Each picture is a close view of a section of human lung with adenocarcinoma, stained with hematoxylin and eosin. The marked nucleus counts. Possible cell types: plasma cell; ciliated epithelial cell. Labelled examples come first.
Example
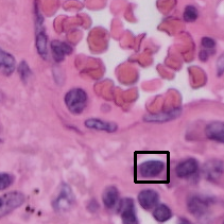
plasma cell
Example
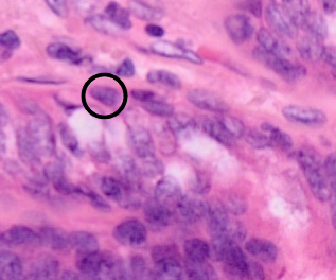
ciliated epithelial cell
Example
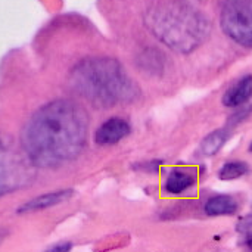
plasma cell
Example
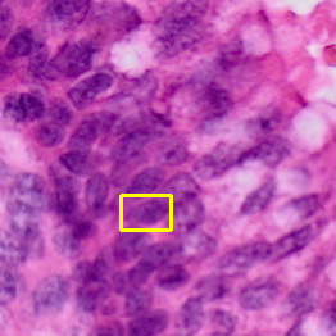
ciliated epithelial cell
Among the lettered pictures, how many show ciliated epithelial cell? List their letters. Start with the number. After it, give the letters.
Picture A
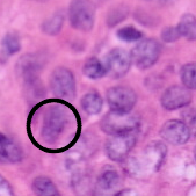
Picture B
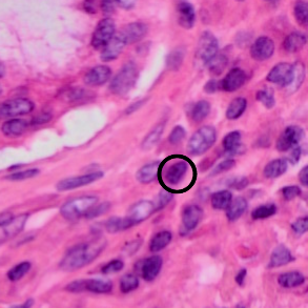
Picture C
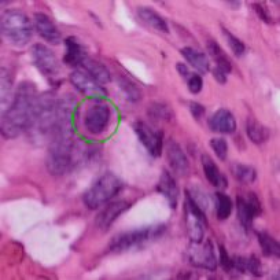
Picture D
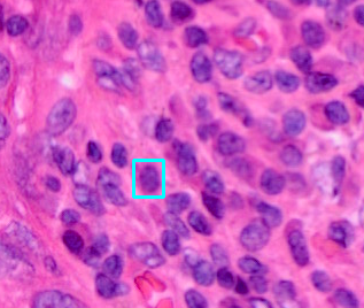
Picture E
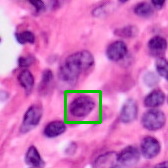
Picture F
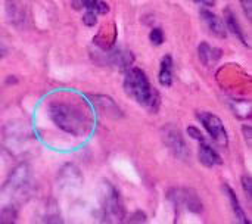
Count: 3 (A, C, F)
